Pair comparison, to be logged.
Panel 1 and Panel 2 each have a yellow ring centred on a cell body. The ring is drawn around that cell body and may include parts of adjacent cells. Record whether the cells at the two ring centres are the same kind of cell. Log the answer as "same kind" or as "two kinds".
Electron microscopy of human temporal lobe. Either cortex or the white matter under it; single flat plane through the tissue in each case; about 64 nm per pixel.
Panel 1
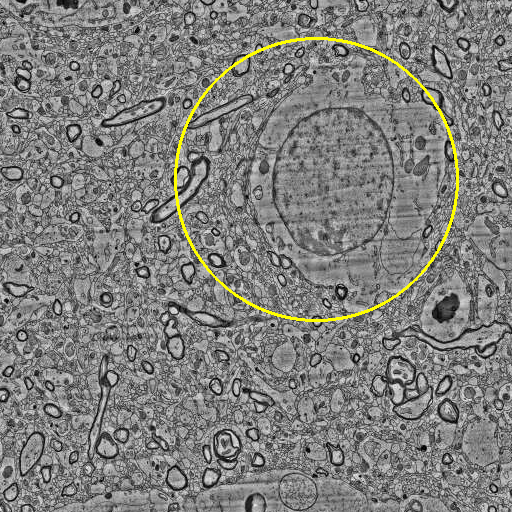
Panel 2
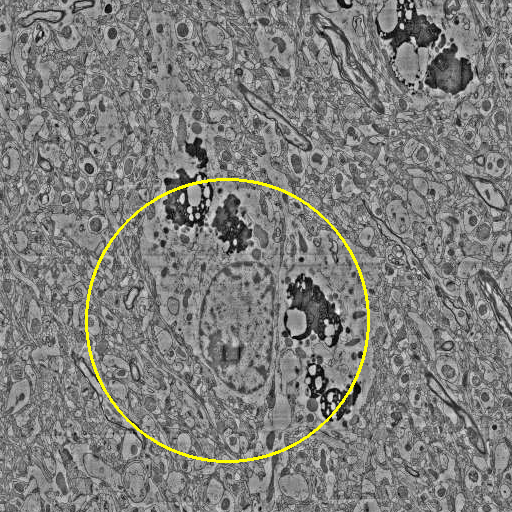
same kind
